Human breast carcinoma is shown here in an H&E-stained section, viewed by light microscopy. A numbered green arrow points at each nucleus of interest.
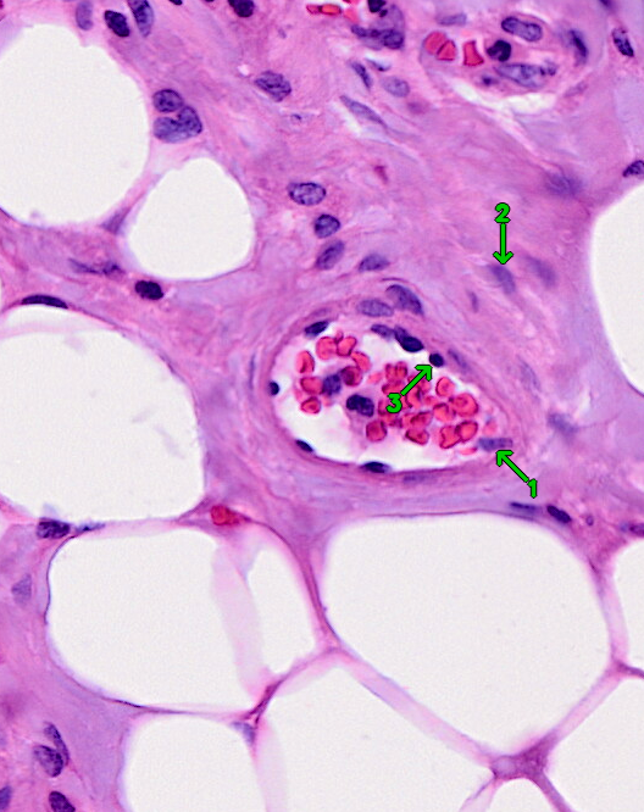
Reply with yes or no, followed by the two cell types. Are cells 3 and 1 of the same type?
Yes, along with cell 3, cell 1 is also among the endothelial cells.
